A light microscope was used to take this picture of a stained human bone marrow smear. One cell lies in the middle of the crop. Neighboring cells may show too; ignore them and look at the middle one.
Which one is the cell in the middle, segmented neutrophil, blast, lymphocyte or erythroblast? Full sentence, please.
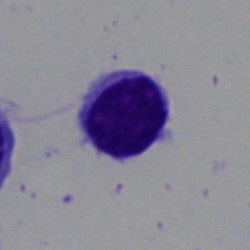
In the central position of this crop, the cell is a lymphocyte.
